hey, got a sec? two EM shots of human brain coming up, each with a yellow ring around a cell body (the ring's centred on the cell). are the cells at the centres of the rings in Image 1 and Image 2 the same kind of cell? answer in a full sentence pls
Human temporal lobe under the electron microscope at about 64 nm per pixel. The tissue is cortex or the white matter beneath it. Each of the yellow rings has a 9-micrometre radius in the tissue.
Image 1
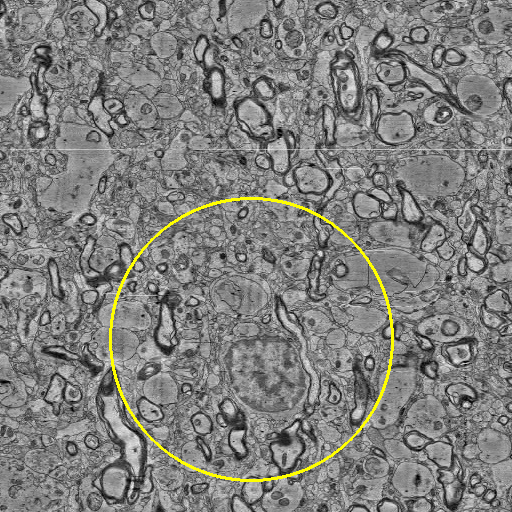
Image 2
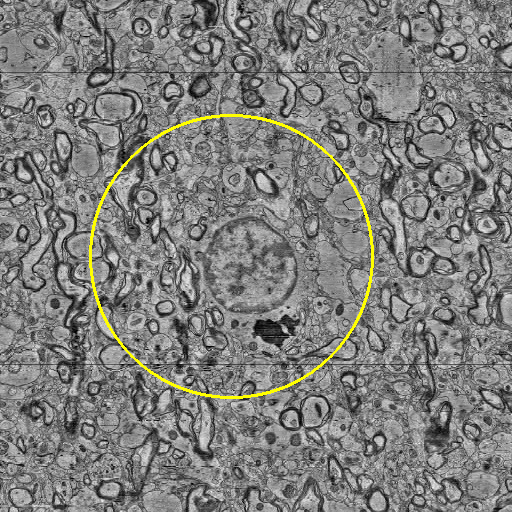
Yes, both are the same kind of cell.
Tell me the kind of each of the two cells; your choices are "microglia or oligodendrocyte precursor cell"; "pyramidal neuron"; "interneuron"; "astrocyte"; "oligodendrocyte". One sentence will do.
The ring centre holds an oligodendrocyte in each of the two pictures.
